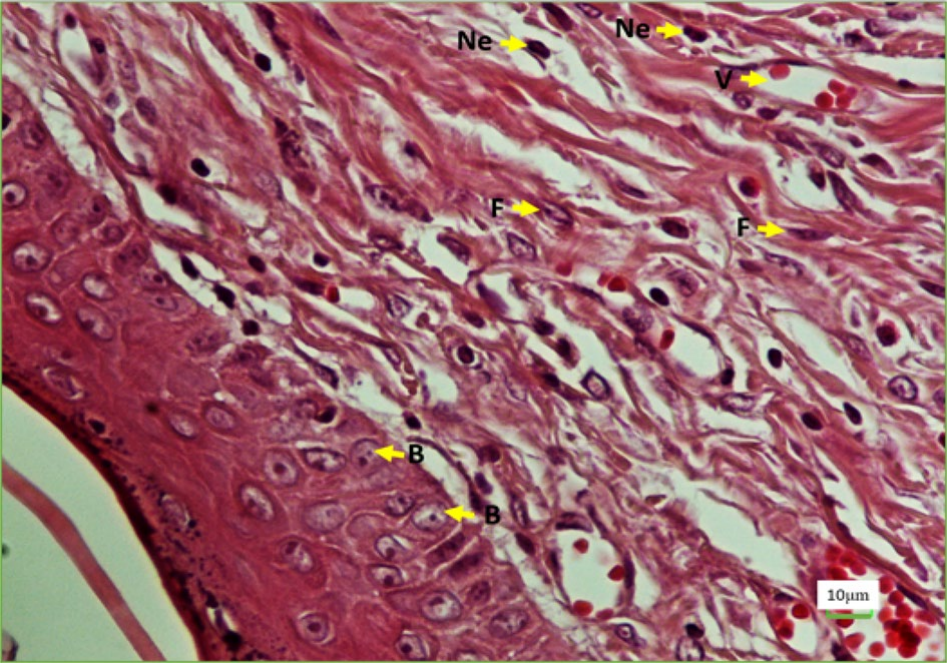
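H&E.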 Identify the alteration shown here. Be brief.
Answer: Wound healing area.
